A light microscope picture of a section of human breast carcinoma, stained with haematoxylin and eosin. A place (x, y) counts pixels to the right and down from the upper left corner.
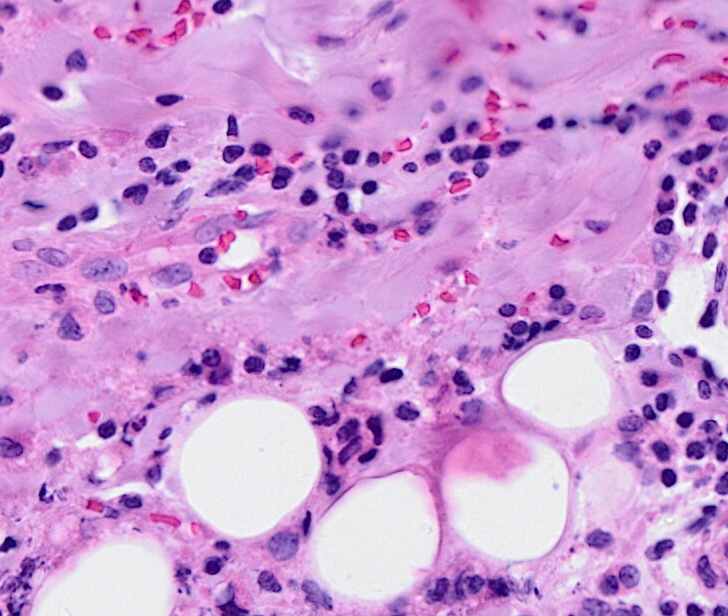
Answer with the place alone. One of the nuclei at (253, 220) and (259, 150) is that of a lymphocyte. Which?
(259, 150)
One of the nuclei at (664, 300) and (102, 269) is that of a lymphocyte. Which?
(664, 300)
